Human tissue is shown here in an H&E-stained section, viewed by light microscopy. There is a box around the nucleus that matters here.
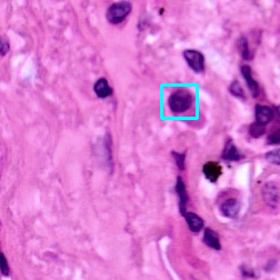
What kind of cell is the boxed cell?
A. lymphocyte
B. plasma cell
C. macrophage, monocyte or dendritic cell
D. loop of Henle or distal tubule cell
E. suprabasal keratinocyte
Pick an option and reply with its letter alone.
B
